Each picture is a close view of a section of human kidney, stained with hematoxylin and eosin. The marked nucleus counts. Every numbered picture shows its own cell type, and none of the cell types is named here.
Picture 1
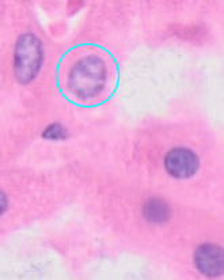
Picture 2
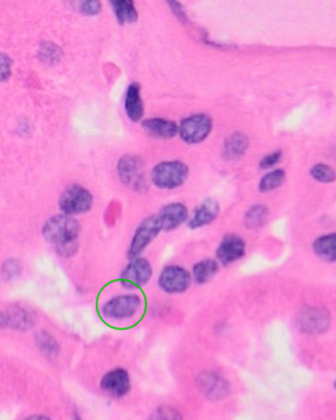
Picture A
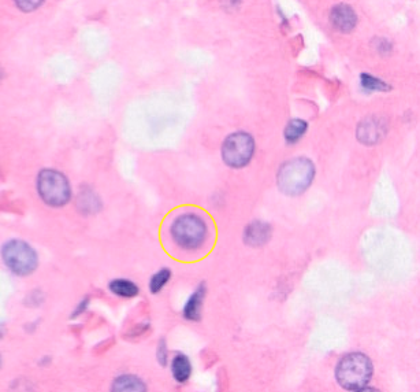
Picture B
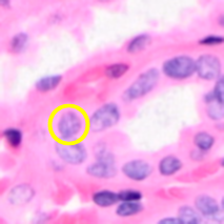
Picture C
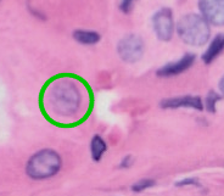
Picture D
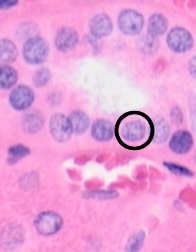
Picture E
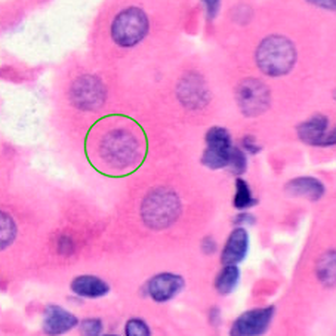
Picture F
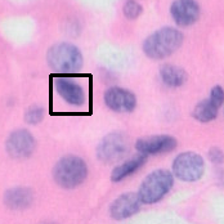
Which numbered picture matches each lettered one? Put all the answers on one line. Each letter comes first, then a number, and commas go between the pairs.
A 1, B 2, C 1, D 2, E 1, F 2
